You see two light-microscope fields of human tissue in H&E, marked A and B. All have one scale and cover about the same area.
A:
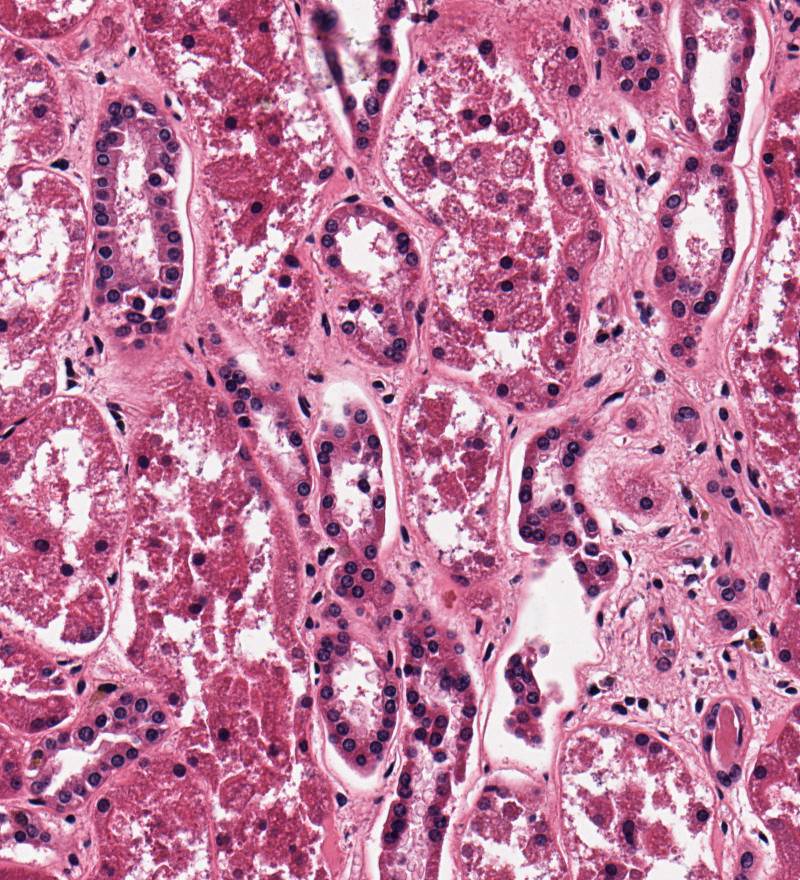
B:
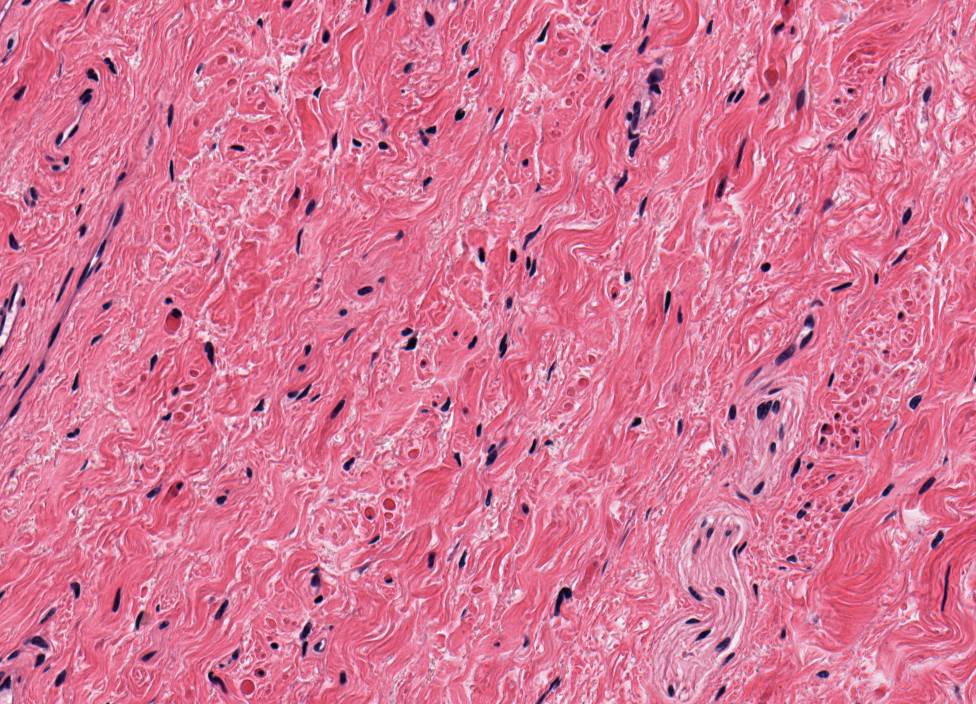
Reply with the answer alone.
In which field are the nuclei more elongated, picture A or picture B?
B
